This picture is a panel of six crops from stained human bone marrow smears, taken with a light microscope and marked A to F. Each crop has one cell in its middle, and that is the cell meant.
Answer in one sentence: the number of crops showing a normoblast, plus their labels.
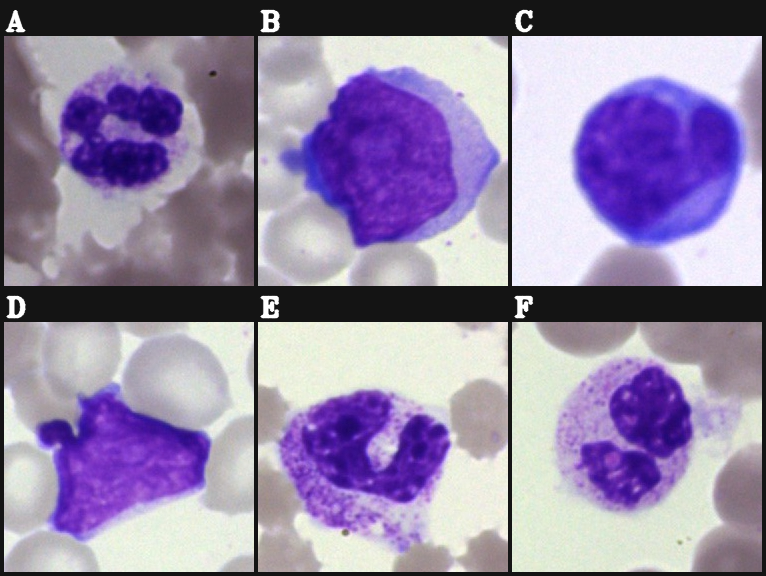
The count, given that no crop shows normoblasts, is zero.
